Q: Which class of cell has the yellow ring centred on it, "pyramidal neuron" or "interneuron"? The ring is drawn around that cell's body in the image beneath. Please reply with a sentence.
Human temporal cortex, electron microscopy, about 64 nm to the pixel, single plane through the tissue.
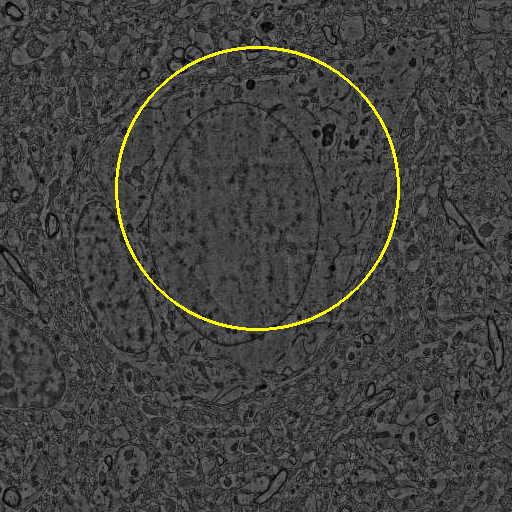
It is centred on a pyramidal neuron.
